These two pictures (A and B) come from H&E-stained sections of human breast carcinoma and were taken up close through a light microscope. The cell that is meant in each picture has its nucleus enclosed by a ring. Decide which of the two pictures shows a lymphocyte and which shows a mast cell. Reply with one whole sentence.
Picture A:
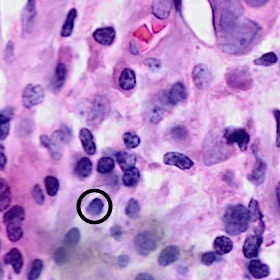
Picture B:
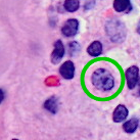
The cell in picture A is a lymphocyte, and the one in picture B is a mast cell.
